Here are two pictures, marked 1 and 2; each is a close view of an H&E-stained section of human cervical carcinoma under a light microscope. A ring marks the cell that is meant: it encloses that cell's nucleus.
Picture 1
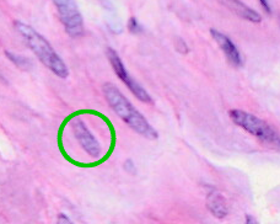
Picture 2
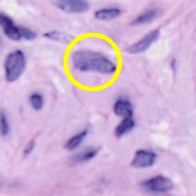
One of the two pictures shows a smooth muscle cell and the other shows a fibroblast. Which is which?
1: smooth muscle cell
2: fibroblast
